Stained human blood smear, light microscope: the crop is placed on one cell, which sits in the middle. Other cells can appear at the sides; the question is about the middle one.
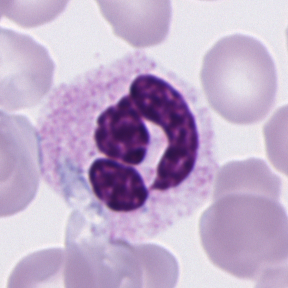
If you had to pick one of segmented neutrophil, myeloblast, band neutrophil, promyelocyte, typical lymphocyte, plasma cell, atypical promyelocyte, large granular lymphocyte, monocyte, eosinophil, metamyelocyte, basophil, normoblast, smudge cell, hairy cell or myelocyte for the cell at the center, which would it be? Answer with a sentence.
The centrally placed cell is classified as a segmented neutrophil.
